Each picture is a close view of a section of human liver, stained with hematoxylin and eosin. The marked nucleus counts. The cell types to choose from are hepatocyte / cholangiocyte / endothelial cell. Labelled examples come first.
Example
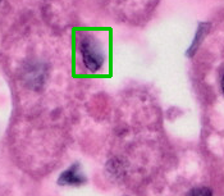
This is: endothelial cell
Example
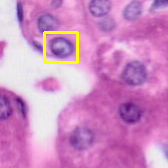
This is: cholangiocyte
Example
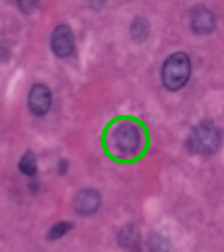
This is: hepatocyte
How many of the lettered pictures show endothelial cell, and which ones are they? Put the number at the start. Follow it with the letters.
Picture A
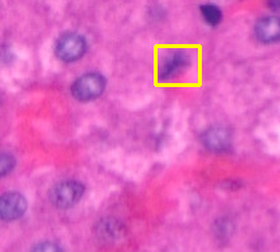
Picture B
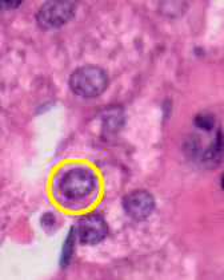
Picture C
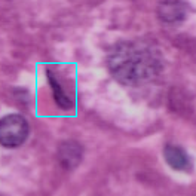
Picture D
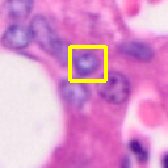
Count: 2 (A, C)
